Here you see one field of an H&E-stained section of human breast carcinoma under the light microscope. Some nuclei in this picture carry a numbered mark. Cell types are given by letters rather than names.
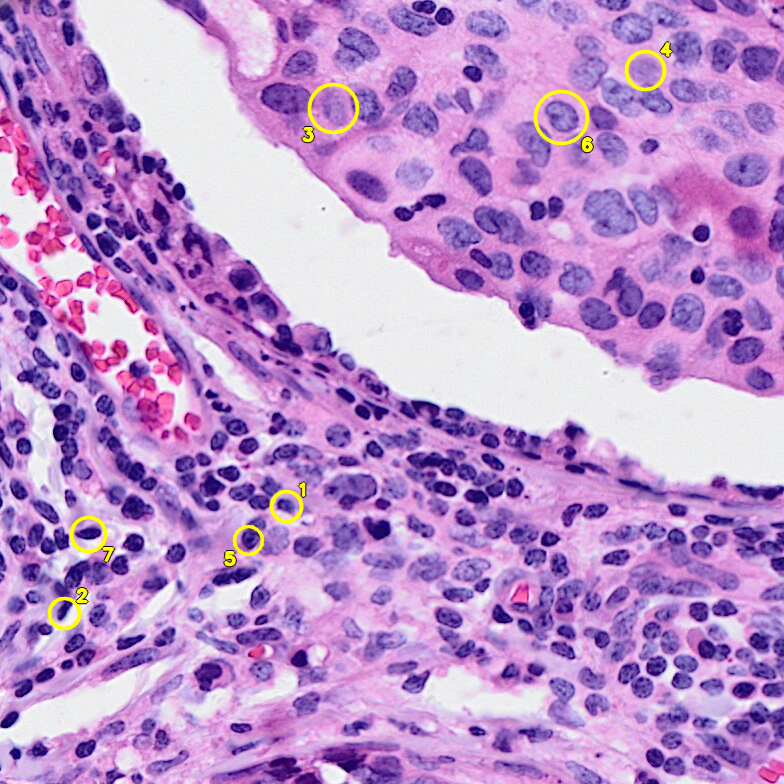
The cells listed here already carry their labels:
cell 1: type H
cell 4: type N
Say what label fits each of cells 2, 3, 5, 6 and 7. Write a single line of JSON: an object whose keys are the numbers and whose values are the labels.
{"2": "type H", "3": "type N", "5": "type H", "6": "type N", "7": "type H"}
